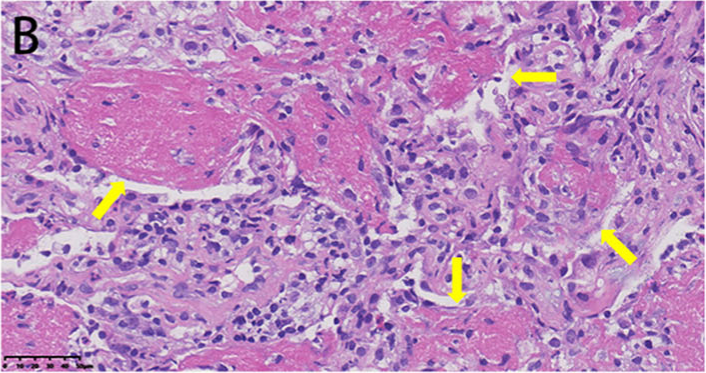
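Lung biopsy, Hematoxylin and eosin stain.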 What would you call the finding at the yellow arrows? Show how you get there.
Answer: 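These masses fill spaces surrounded by cellular septa.
Answer: fibrinous exudate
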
